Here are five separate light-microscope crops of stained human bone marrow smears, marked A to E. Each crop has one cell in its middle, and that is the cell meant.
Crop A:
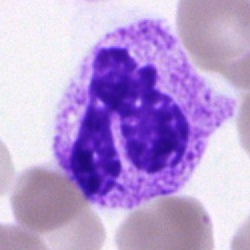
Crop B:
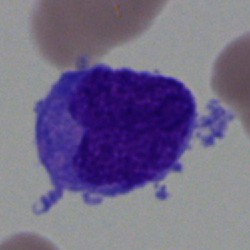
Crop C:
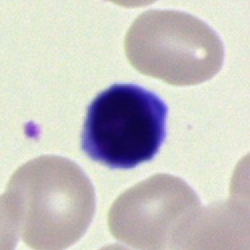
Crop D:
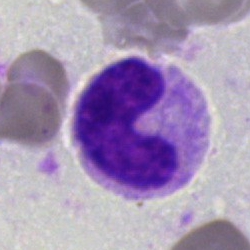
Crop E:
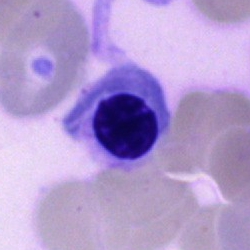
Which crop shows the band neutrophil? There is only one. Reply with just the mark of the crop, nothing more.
D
